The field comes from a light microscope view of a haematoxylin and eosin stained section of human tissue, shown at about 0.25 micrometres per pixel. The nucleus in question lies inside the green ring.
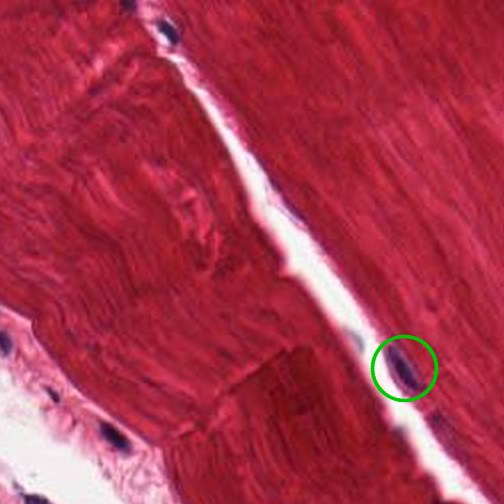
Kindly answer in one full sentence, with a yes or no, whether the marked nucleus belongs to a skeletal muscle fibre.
Yes, the marked nucleus is the nucleus of a skeletal muscle fibre.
